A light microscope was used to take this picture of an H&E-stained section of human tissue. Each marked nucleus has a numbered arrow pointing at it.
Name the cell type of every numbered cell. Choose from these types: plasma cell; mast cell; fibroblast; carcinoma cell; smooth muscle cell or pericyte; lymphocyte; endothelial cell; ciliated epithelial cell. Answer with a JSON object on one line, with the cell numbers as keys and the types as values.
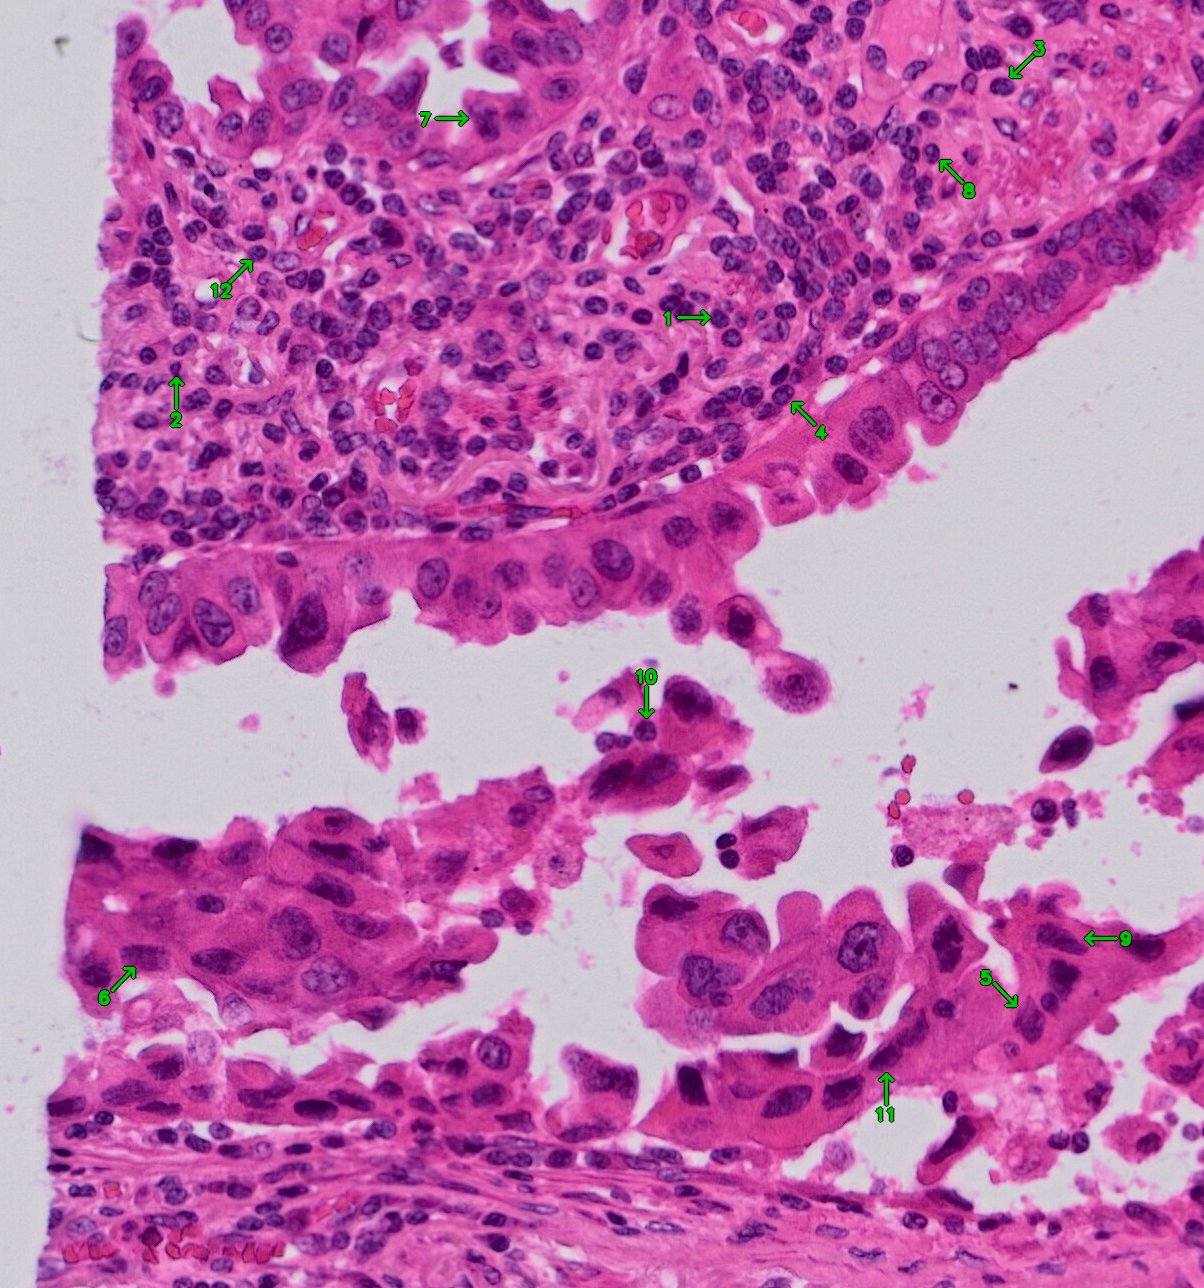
{"1": "lymphocyte", "2": "lymphocyte", "3": "lymphocyte", "4": "lymphocyte", "5": "carcinoma cell", "6": "carcinoma cell", "7": "carcinoma cell", "8": "lymphocyte", "9": "carcinoma cell", "10": "lymphocyte", "11": "carcinoma cell", "12": "lymphocyte"}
